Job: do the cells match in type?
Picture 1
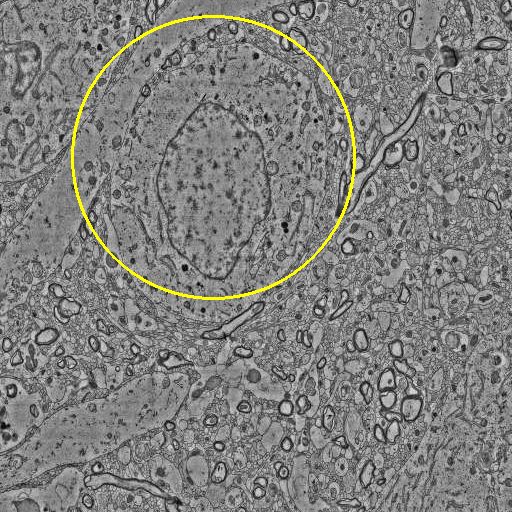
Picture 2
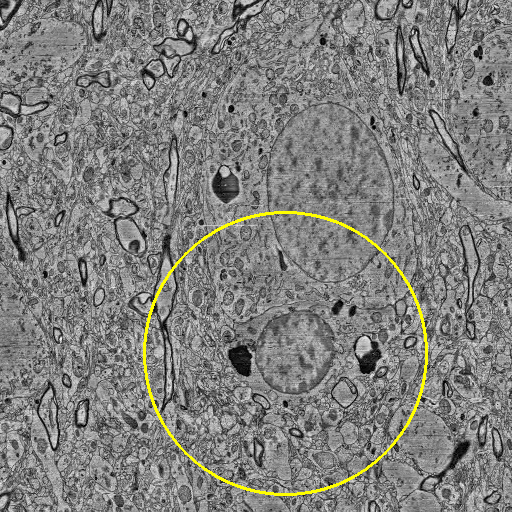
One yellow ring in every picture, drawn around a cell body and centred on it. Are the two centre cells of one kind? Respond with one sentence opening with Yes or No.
No, the ringed cells in the two pictures are of two separate kinds.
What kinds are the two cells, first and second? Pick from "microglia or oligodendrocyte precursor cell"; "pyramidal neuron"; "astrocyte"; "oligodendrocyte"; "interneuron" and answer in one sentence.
The second picture holds an oligodendrocyte in its ring, and the first holds a pyramidal neuron.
